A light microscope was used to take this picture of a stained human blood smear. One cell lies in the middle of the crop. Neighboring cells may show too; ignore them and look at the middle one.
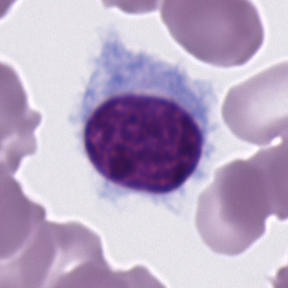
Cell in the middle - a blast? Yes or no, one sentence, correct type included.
No, the cell under consideration is a hairy cell instead of a blast.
